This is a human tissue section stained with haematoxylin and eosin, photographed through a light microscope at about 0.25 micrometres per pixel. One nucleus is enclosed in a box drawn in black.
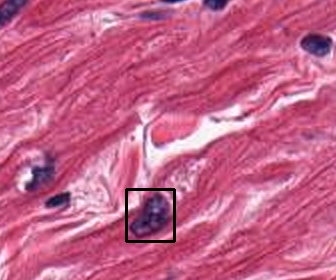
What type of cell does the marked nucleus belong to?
cardiomyocyte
